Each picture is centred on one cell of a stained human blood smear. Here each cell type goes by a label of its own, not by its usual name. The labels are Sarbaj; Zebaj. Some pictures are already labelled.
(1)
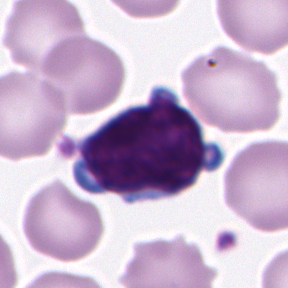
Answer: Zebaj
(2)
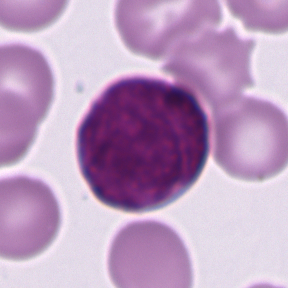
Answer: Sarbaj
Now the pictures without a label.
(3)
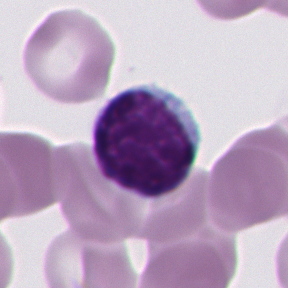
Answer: Zebaj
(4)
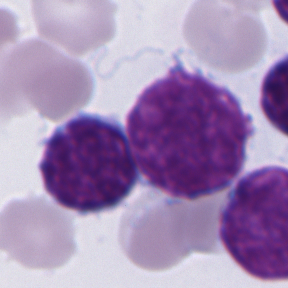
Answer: Sarbaj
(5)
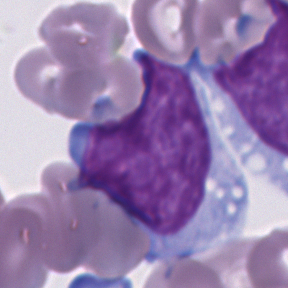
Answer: Sarbaj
